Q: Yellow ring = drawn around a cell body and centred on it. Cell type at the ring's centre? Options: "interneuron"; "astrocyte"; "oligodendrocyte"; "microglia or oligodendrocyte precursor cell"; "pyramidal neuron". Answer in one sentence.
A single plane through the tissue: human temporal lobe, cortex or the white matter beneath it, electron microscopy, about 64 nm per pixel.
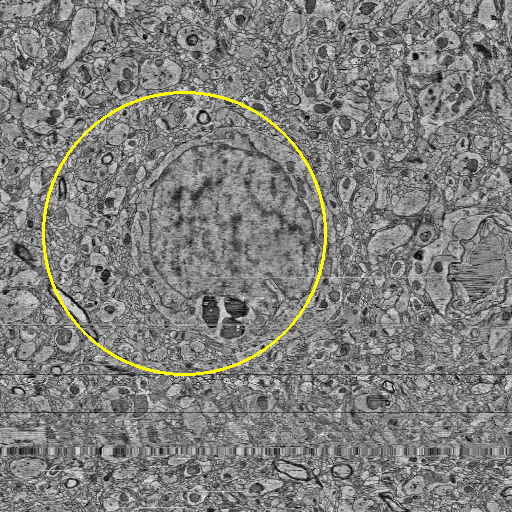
Centred in the ring is an interneuron.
